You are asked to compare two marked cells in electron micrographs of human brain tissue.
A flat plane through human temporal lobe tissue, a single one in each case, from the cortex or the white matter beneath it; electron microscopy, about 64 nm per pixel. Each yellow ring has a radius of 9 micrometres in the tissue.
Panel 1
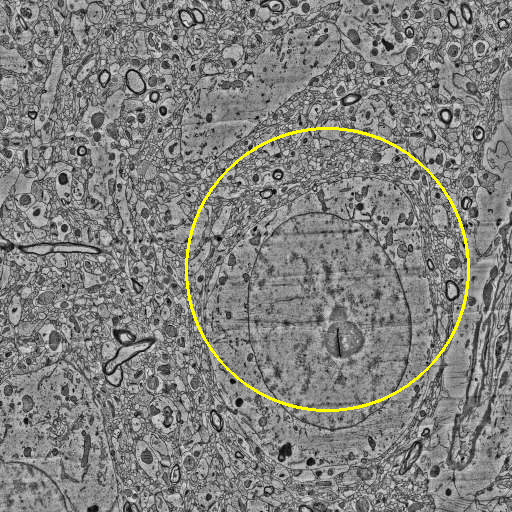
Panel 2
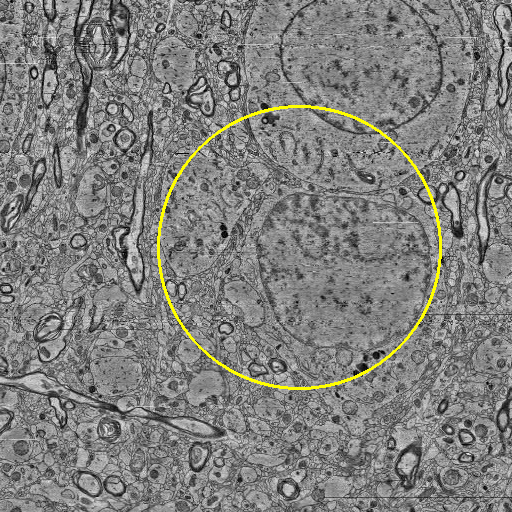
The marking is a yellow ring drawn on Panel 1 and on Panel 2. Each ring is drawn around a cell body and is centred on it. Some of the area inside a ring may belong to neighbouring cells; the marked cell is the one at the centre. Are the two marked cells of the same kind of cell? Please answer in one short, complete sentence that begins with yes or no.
No, the two marked cells are of two kinds.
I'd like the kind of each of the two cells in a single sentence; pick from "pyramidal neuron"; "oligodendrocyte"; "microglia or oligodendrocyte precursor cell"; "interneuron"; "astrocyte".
The first ring marks a pyramidal neuron, and the second ring marks an interneuron.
